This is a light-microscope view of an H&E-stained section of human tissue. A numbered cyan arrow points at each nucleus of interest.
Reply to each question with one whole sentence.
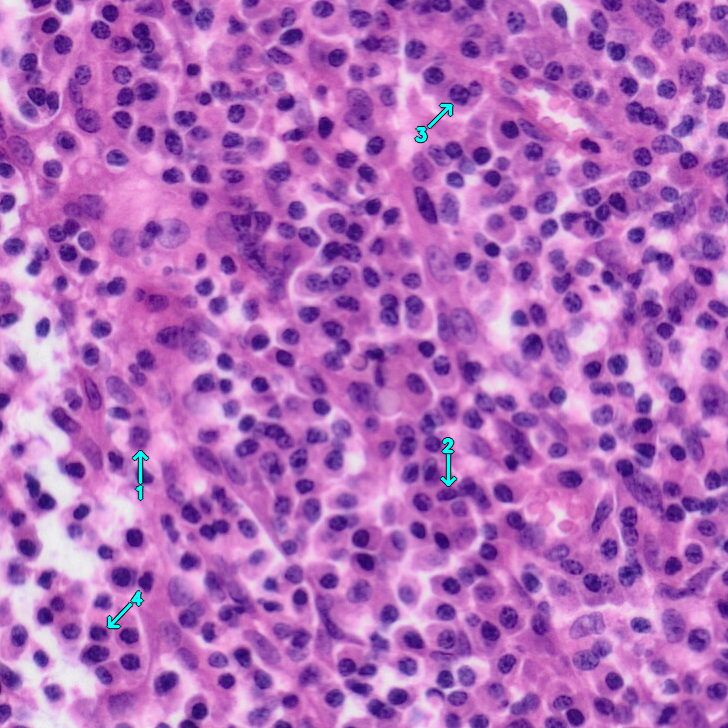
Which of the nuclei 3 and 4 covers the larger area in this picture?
Nucleus 3 covers more area, about 1.5 times as much as nucleus 4.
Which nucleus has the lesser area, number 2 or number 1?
Nucleus 2 is the smaller one; nucleus 1 covers about 1.5 times its area.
